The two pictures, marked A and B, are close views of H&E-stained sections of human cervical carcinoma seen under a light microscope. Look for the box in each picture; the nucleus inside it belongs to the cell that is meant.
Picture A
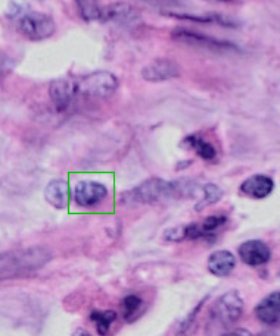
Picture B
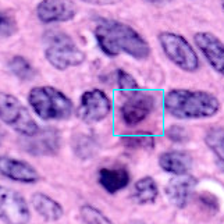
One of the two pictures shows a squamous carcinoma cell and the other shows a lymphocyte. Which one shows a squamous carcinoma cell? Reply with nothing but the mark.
B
